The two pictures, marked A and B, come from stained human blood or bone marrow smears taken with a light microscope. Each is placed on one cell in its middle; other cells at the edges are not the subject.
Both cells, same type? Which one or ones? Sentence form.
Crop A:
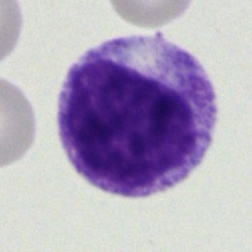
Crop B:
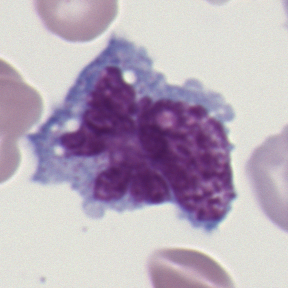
No, at the centre of crop A is a myelocyte, and at the centre of crop B is a monocyte.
